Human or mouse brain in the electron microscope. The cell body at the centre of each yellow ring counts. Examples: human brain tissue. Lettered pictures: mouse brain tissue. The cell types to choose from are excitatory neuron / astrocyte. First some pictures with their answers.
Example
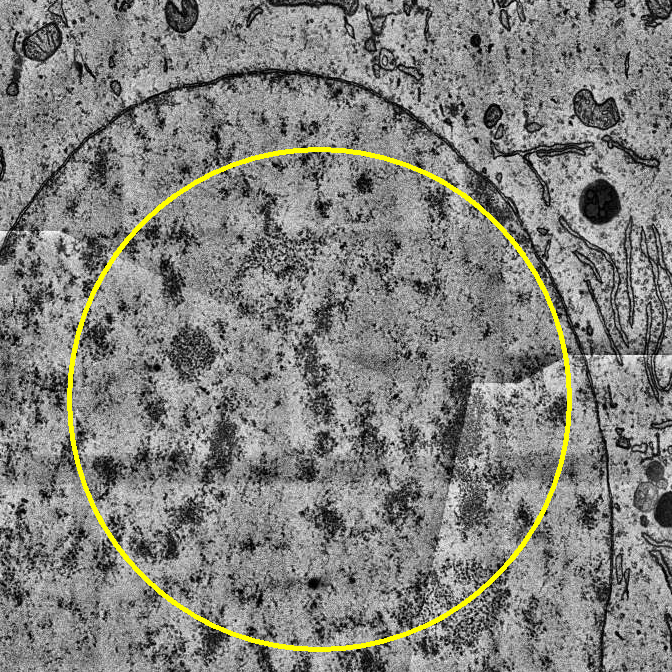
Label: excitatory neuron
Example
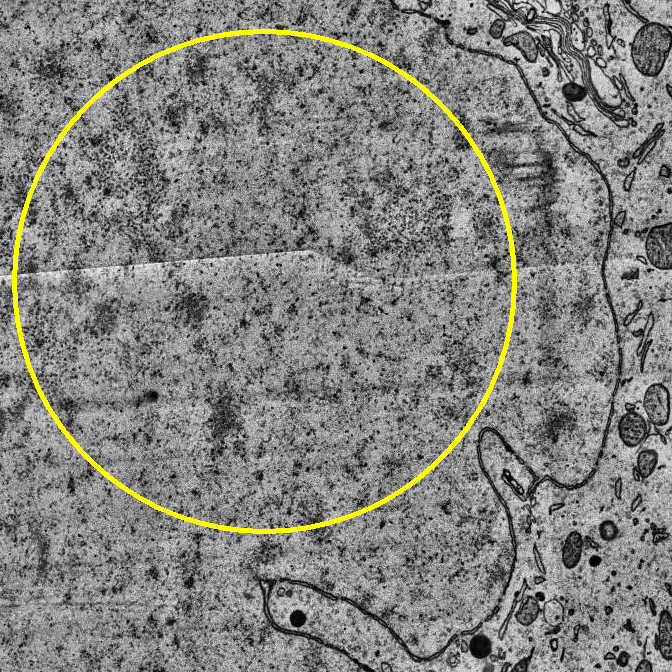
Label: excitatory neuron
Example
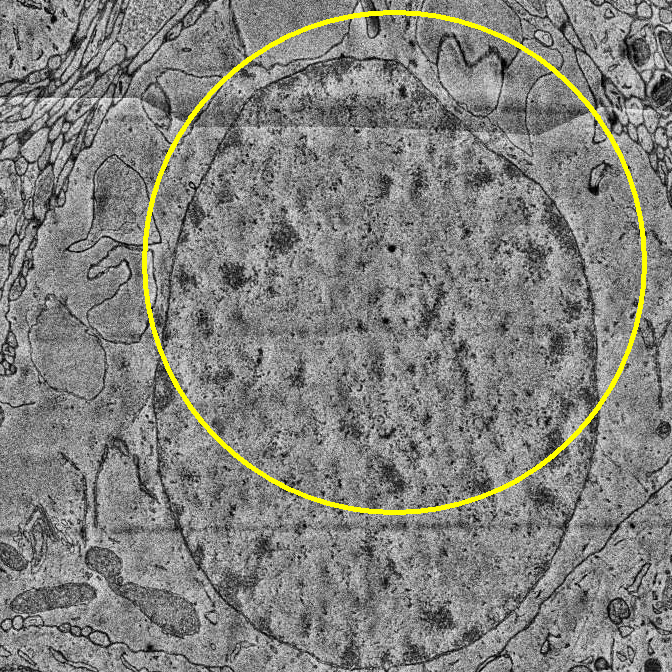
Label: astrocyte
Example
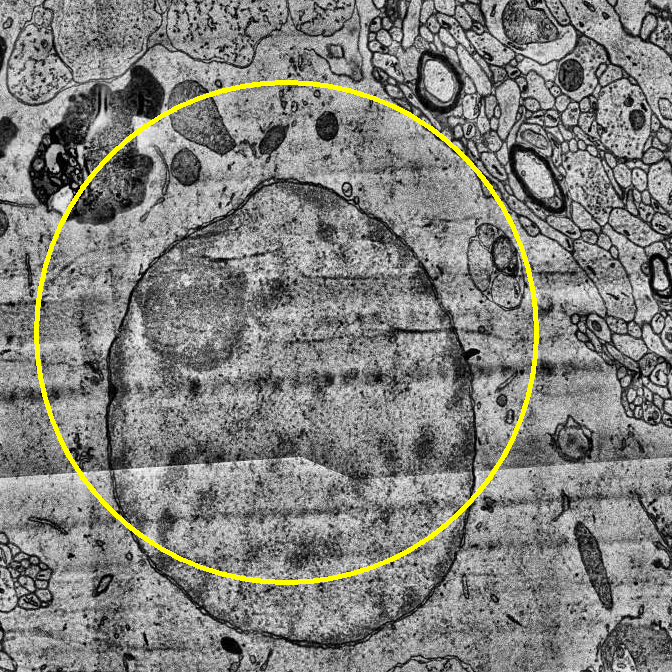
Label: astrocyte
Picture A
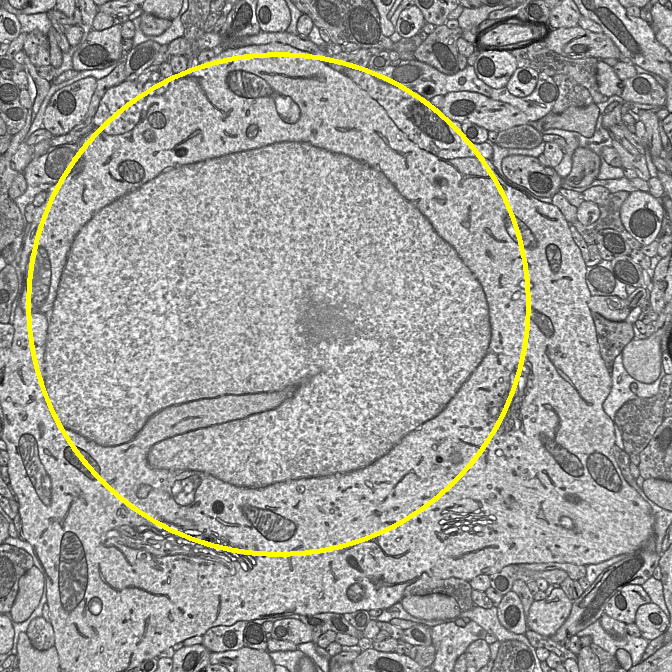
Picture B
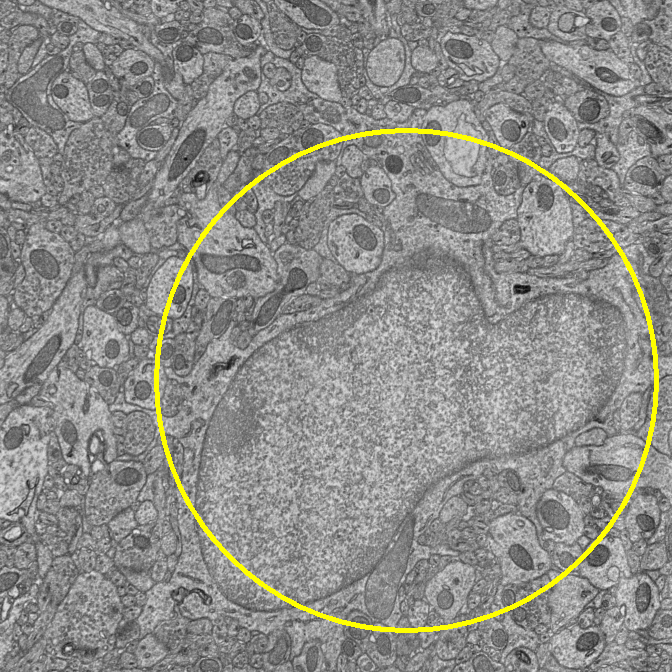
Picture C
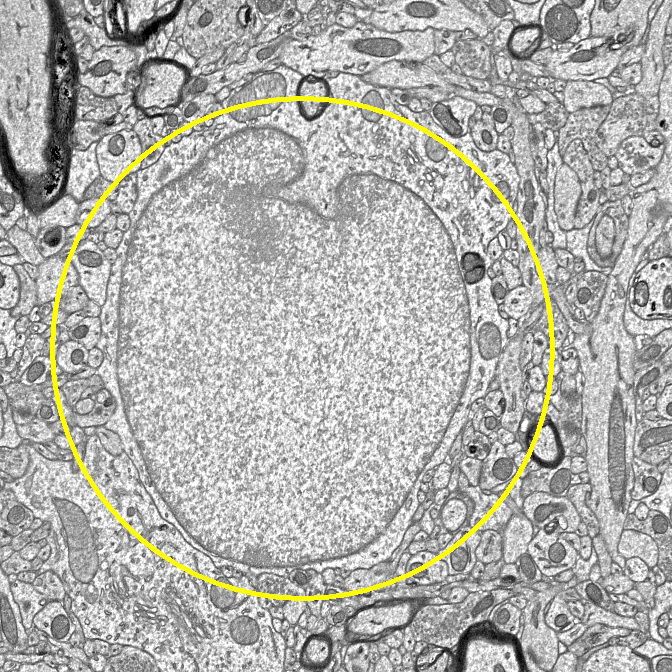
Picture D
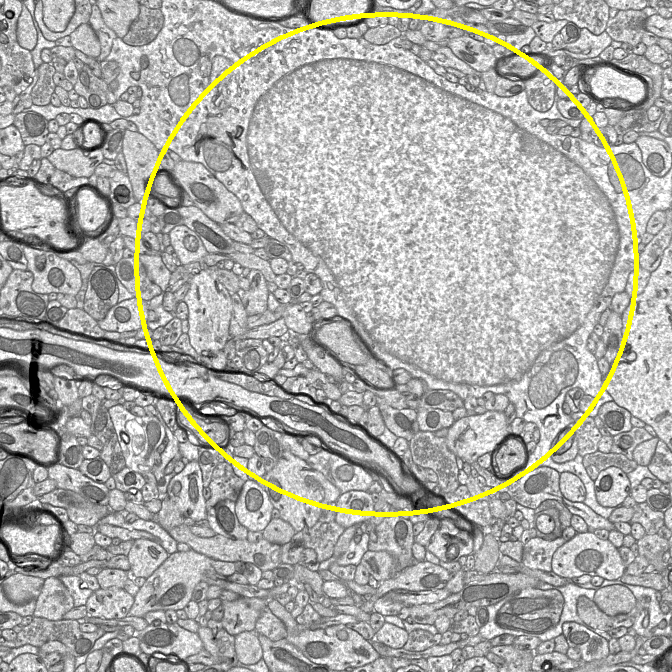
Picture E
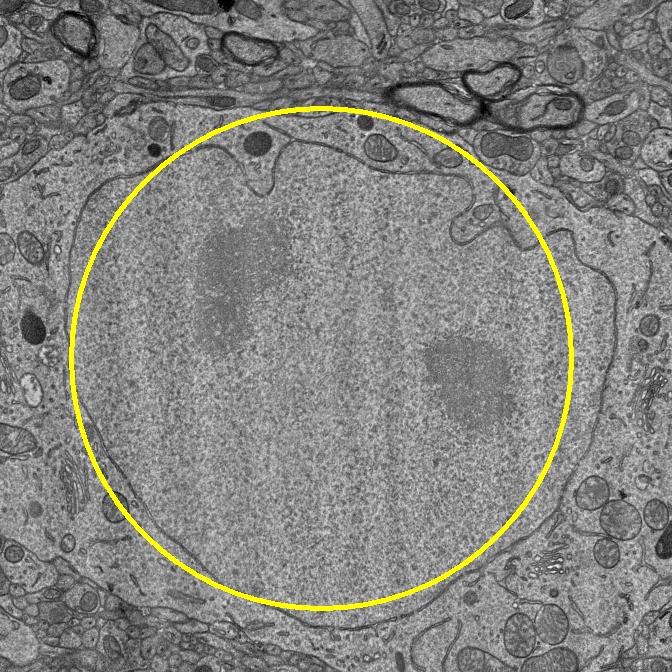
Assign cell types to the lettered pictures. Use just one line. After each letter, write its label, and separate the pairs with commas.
A excitatory neuron, B astrocyte, C astrocyte, D astrocyte, E excitatory neuron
